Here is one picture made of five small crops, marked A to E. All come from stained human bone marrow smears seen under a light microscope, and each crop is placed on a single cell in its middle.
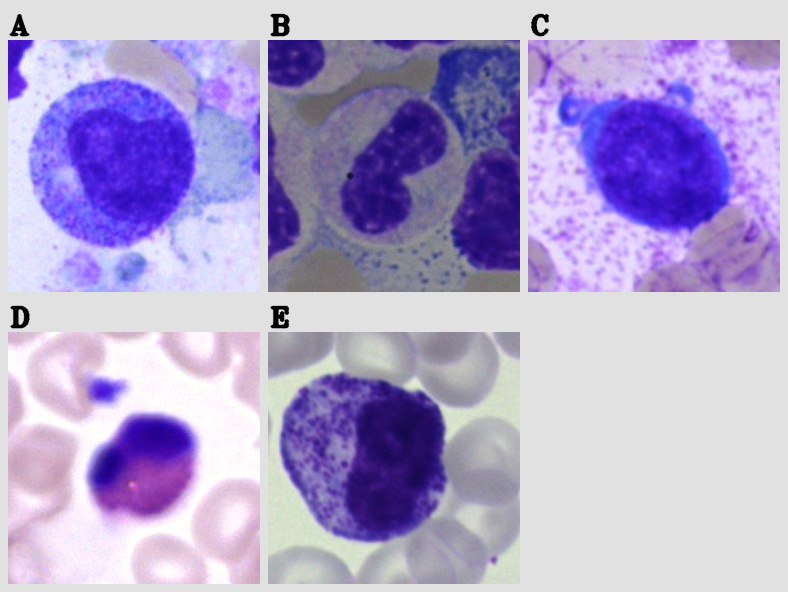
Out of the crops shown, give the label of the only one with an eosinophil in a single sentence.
The correct choice is crop D, the one showing an eosinophil.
